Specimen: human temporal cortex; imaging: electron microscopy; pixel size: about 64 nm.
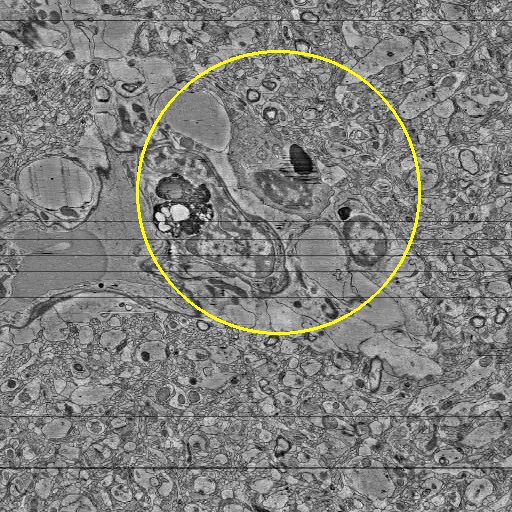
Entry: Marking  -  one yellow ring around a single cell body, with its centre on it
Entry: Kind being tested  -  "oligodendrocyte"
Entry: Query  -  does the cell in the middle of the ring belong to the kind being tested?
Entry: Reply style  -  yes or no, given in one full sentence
Yes, the centred cell within the ring in the picture does belong to the tested kind.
